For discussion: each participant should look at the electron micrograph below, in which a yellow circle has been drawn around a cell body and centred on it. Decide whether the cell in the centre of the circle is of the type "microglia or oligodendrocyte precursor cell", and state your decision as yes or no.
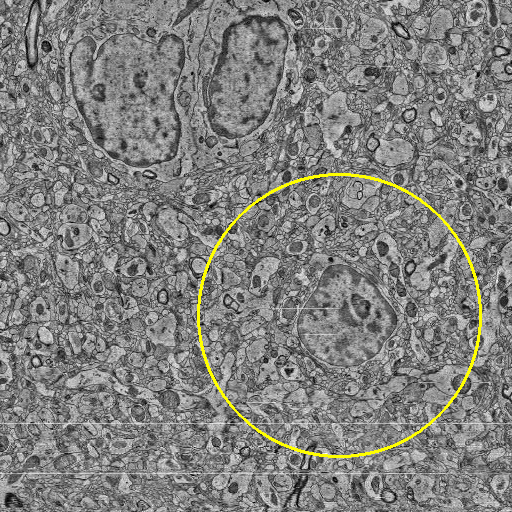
yes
